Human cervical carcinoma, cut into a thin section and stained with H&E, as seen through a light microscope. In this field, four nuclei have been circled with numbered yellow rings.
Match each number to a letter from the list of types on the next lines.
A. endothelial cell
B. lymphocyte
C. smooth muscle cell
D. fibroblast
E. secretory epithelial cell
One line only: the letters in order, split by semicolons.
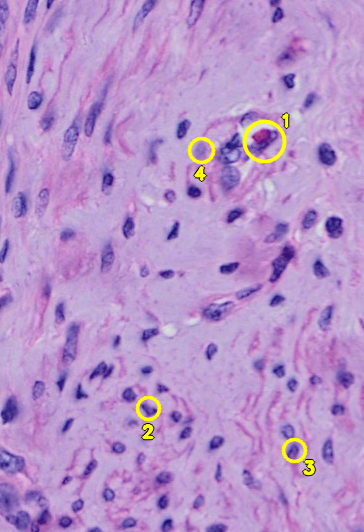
A; C; C; C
